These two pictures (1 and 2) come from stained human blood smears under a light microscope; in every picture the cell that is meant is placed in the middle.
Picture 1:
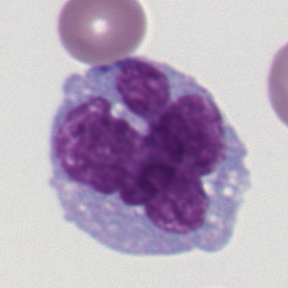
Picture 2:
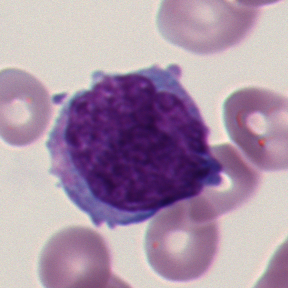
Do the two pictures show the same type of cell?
no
